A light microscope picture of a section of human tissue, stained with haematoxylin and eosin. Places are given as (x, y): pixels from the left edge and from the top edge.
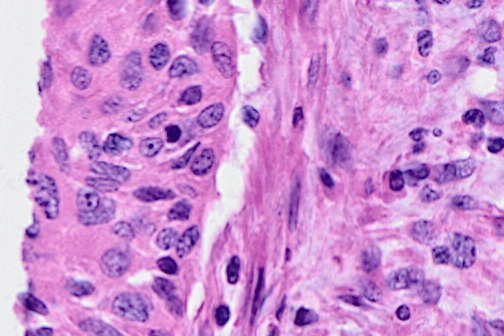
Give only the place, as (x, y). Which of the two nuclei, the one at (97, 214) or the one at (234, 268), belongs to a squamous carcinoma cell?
(97, 214)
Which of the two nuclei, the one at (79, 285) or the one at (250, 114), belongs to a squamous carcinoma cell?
(79, 285)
